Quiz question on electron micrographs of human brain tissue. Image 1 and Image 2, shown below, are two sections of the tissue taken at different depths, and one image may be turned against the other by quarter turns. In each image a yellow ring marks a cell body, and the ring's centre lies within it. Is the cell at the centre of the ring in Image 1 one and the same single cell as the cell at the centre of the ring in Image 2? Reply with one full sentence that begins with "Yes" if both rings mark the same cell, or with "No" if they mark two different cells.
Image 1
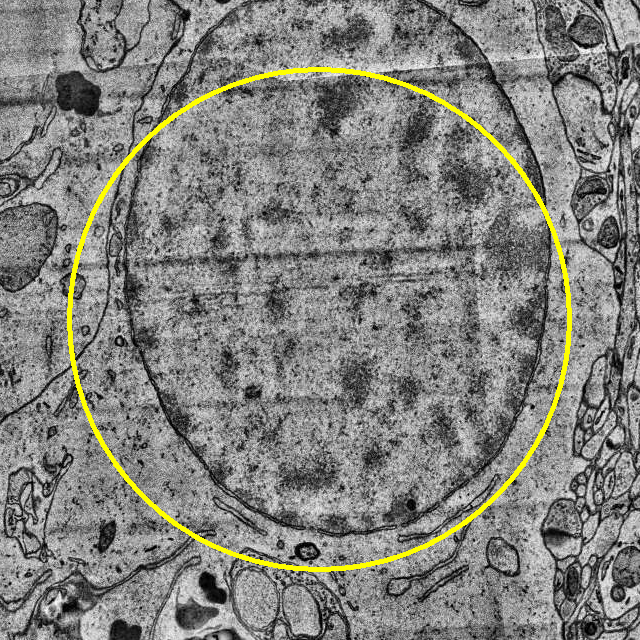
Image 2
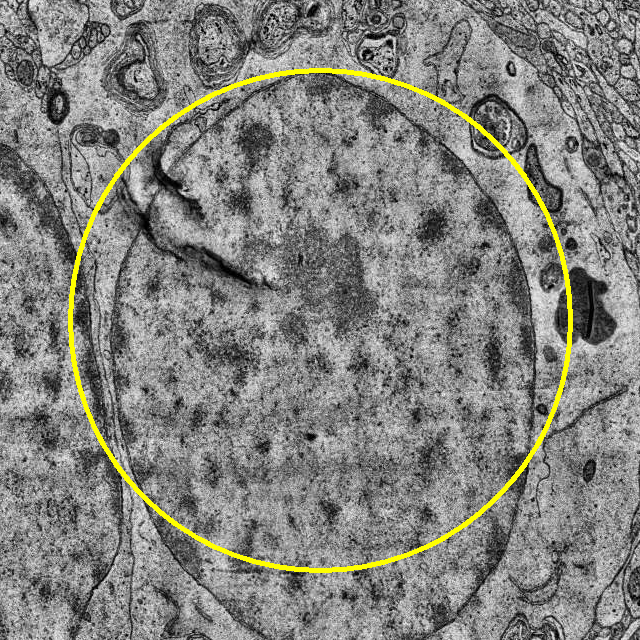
No, the two yellow rings each circle a different cell.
